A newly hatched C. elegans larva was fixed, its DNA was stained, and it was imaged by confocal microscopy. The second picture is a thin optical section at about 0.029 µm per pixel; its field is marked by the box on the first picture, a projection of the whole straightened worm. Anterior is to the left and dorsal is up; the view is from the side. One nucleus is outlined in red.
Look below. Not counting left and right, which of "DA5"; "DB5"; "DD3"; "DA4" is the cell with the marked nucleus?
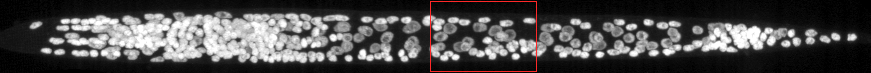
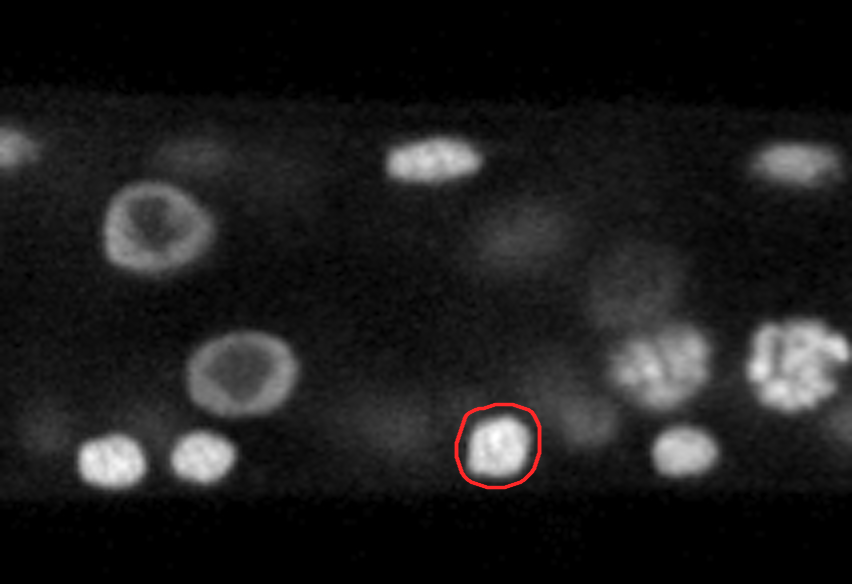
DB5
